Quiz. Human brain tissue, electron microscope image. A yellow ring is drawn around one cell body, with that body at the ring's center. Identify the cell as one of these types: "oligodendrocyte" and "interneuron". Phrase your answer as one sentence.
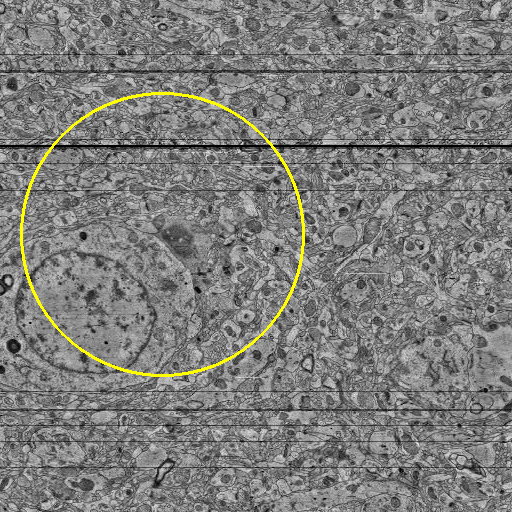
At the center of the ring sits an oligodendrocyte.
